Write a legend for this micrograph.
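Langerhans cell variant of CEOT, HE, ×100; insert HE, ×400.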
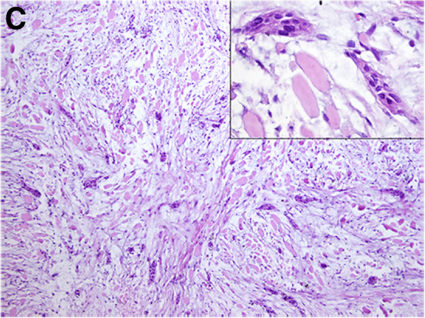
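Tumor tissue made of small nests and thin strands of odontogenic epithelial cells lying in a loose, pale pink fibrous connective tissue stroma. The epithelial clusters have dark purple nuclei and pink cytoplasm and are scattered irregularly through the field. Between them lie many amorphous, homogeneous, eosinophilic globules, round to oval, without nuclei. The inset at higher magnification shows a small epithelial island of polyhedral cells with eosinophilic cytoplasm and dark nuclei beside several smooth pink globules within the loose stroma.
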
